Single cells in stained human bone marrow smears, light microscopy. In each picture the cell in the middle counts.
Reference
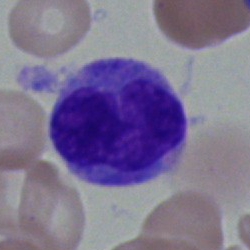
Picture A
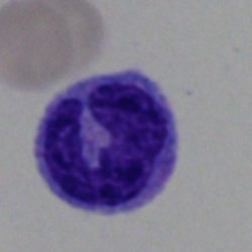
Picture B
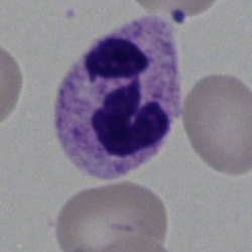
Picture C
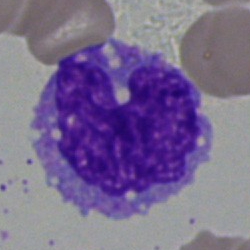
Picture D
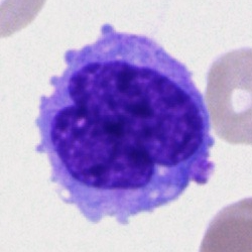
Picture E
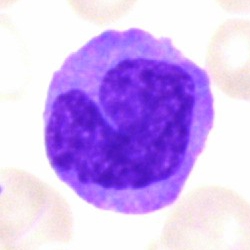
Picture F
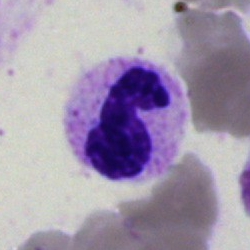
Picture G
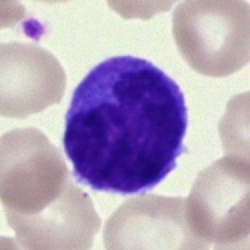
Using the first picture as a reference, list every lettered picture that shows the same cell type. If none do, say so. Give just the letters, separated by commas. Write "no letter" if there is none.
A, C, D, E, G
